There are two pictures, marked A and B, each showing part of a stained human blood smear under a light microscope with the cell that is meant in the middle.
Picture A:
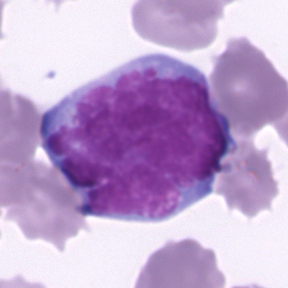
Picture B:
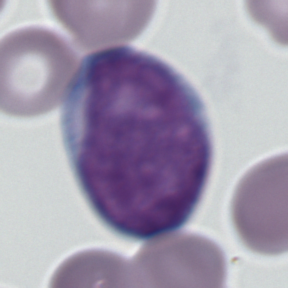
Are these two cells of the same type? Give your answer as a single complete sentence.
Yes, both cells are myeloblasts.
